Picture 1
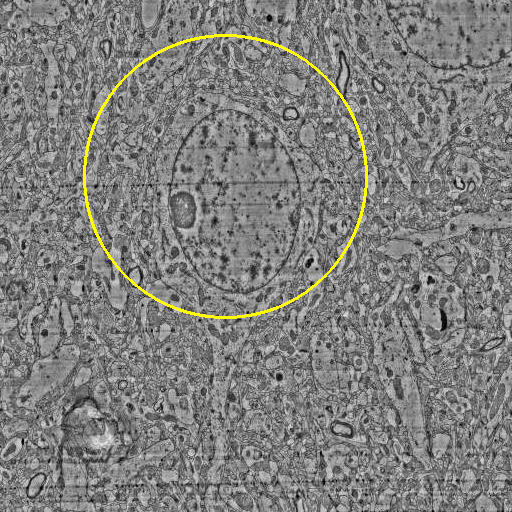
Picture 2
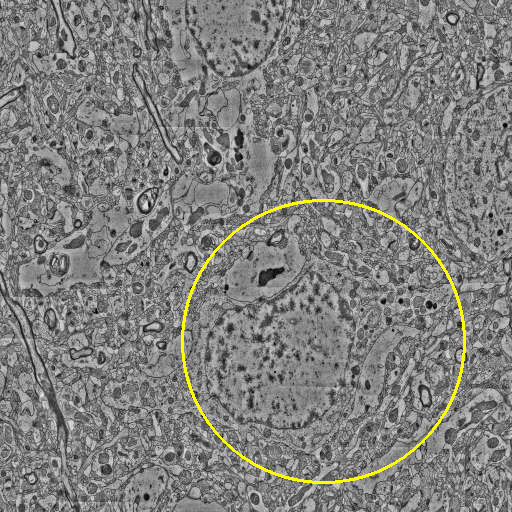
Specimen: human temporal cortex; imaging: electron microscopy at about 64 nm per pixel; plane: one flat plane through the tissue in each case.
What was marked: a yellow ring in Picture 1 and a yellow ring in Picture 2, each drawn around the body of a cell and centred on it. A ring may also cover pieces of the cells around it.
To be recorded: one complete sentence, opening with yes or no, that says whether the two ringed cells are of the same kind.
No, the two ringed cells are of two kinds.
